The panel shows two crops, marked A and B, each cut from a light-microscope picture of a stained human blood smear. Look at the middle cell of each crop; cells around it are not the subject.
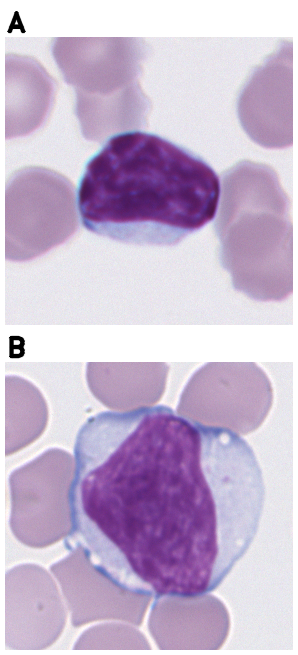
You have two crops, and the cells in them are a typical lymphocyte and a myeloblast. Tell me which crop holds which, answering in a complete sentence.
So, crop A is a typical lymphocyte, and crop B is a myeloblast.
